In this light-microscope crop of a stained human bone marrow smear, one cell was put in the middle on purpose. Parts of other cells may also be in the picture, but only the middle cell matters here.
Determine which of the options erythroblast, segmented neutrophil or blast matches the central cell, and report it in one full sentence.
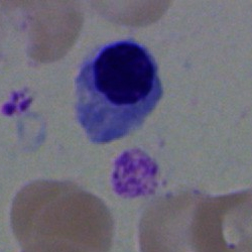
Centrally within this crop lies an erythroblast.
